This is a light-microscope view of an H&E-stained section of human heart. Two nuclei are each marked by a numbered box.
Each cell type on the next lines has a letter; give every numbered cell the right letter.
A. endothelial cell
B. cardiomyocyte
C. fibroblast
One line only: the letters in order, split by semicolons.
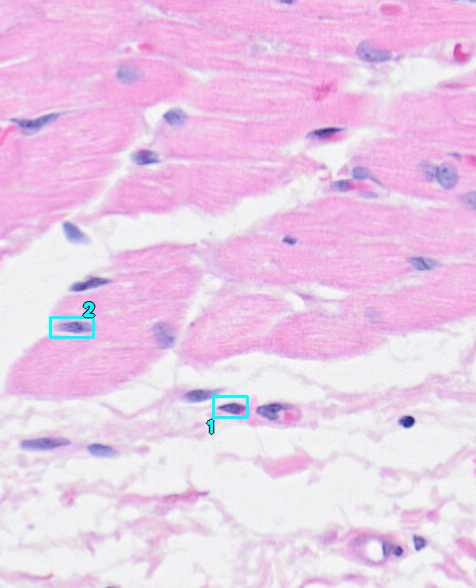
C; A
